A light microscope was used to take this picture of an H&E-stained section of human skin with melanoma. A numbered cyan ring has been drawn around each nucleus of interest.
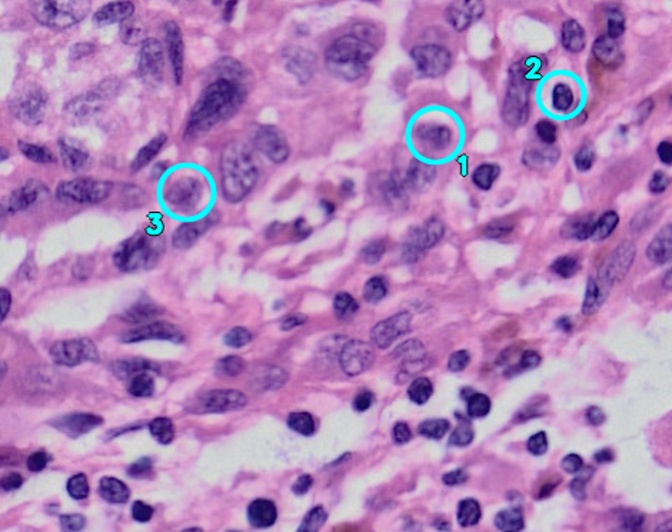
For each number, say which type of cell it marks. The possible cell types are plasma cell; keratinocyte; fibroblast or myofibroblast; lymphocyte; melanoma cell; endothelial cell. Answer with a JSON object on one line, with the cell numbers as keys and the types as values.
{"1": "melanoma cell", "2": "lymphocyte", "3": "melanoma cell"}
